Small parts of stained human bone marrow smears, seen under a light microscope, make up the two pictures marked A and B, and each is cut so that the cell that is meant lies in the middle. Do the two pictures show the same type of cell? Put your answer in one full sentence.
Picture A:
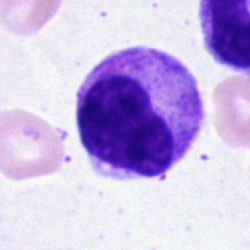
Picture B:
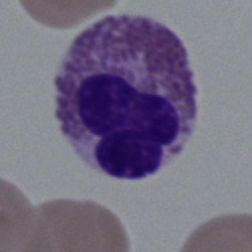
No. Picture A shows a metamyelocyte, but picture B shows an eosinophil.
